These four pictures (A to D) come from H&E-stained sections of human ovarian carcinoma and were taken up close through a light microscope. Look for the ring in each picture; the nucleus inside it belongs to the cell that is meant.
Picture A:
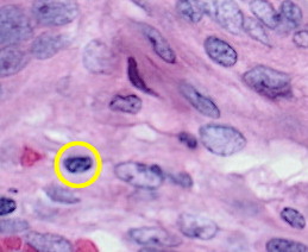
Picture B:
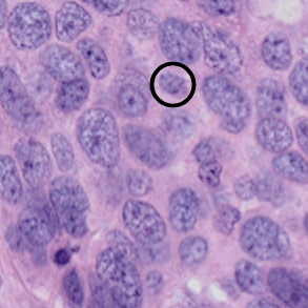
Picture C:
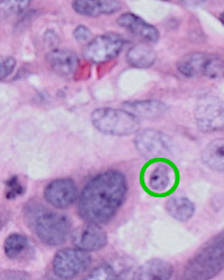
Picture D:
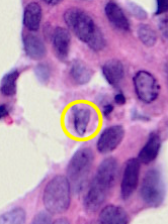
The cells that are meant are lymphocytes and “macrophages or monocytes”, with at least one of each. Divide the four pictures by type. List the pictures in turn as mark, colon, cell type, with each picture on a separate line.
A: lymphocyte
B: macrophage or monocyte
C: macrophage or monocyte
D: macrophage or monocyte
